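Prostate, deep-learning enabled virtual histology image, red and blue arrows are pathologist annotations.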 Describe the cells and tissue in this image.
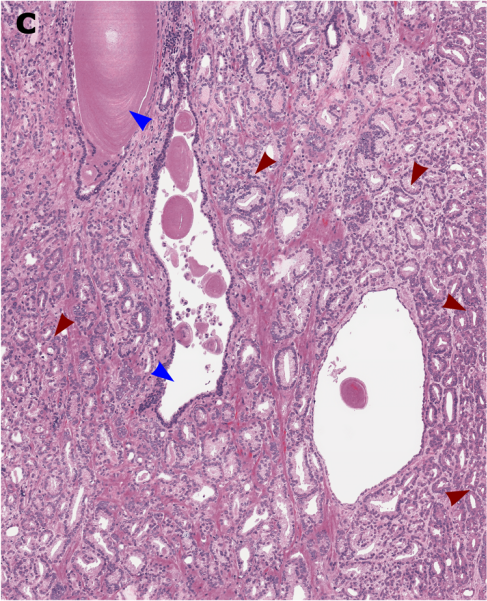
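Across the field lie many small glands with round lumens, lined by cells with pink cytoplasm and purple nuclei, closely set in pink stroma. The lining of these large glands is a thin layer of epithelium. Strands of pink fibrous stroma with scattered purple nuclei run between the glands.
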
